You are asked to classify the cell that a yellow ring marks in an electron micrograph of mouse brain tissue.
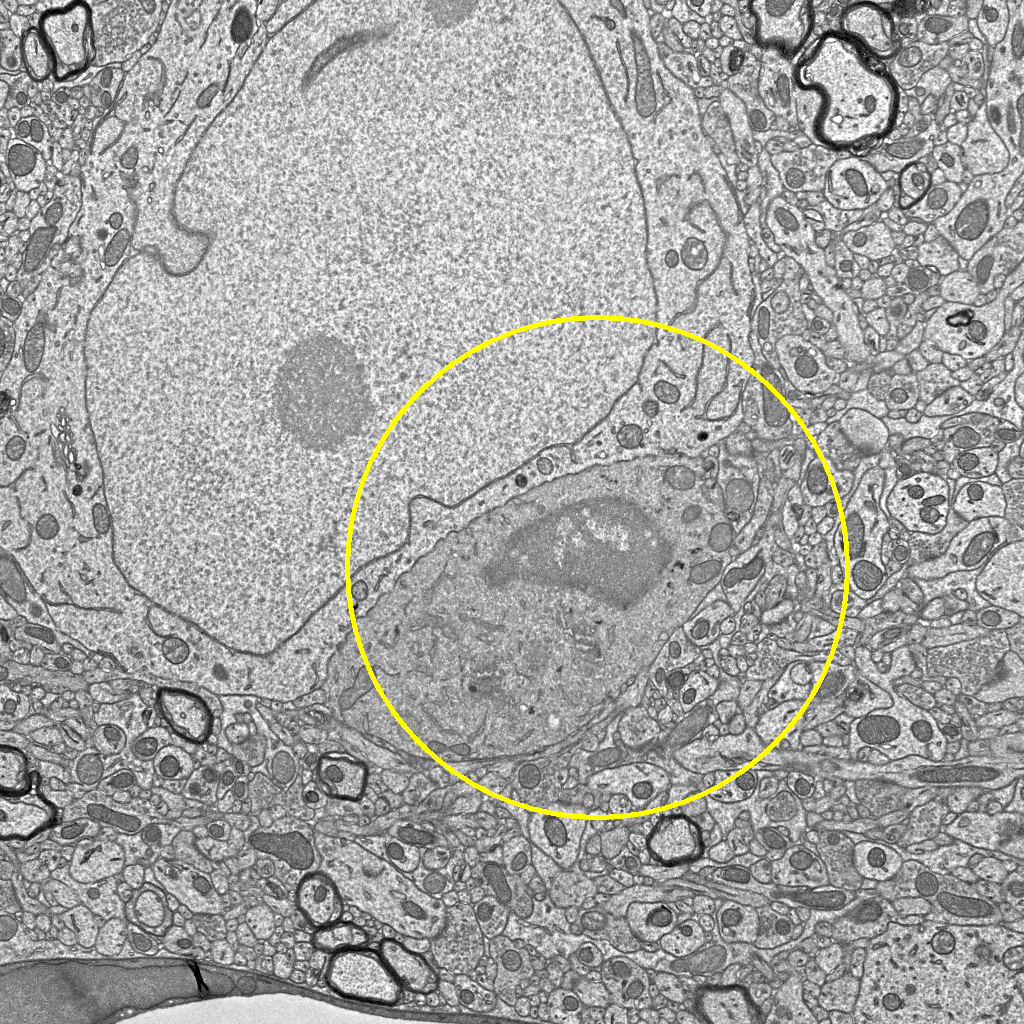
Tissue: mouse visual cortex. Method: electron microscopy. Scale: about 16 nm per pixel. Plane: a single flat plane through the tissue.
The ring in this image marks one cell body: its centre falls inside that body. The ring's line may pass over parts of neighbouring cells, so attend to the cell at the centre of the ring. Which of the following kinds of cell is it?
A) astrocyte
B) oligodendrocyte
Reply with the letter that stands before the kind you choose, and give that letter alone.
B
